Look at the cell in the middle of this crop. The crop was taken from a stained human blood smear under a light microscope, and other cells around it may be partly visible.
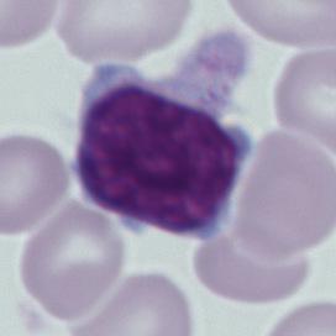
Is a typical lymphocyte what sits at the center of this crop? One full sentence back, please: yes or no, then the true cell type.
Yes, a typical lymphocyte is present in the middle of the crop.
